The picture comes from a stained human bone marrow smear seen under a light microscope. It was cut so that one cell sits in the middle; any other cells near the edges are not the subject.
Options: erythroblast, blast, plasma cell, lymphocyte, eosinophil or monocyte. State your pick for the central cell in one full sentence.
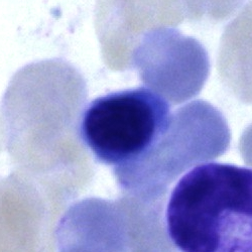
Standing at the centre of this crop is an erythroblast.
